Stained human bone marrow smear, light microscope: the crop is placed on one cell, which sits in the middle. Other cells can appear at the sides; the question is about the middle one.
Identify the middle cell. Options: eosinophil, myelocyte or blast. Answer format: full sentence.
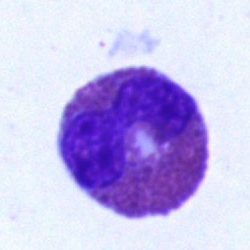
The cell positioned in the middle of the field is an eosinophil.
